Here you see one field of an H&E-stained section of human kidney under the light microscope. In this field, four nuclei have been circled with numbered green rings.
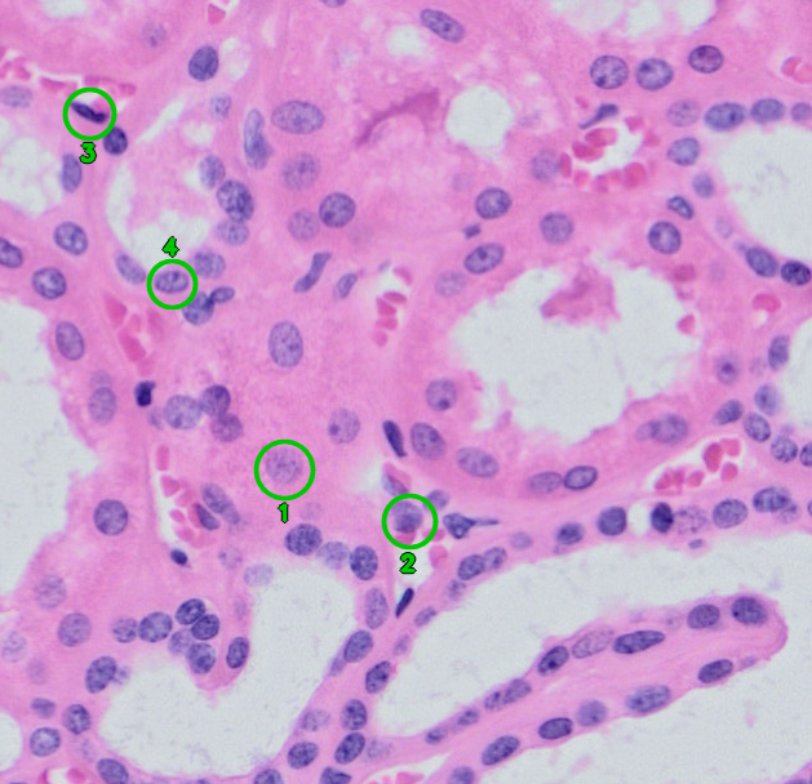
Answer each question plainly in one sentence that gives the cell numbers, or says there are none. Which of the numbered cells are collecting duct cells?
Of all the numbered cells, only cell 4 is a collecting duct cell.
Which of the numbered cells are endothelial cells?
By cell type, the cells numbered 2 and 3 are endothelial cells.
